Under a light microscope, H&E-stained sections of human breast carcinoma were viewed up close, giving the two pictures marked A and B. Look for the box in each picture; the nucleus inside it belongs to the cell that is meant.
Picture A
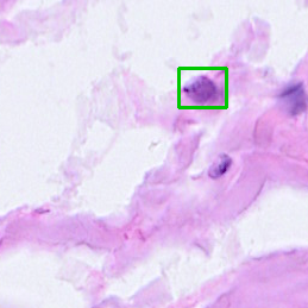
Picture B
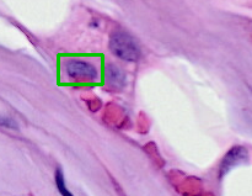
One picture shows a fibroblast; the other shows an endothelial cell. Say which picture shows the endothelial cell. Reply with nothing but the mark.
B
